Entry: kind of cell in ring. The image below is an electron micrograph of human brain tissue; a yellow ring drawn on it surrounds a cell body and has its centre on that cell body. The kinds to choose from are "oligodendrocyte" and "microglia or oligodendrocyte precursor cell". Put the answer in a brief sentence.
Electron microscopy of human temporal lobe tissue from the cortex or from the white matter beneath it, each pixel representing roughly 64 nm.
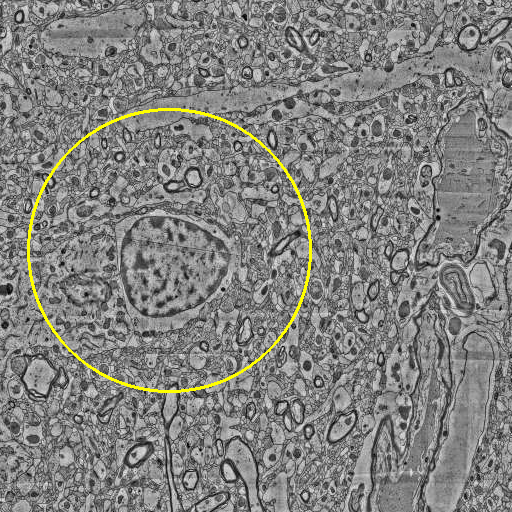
The ring has been drawn around a microglial cell or oligodendrocyte precursor cell.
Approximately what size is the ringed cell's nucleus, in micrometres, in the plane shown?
The nucleus is about 7 micrometres across in this plane.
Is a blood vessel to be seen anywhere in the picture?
Yes, there is a blood vessel.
